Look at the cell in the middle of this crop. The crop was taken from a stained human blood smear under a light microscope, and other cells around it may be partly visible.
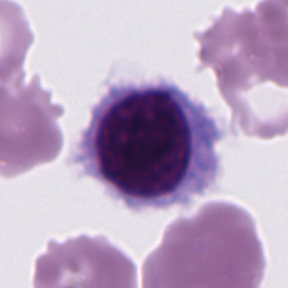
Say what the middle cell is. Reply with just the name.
hairy cell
